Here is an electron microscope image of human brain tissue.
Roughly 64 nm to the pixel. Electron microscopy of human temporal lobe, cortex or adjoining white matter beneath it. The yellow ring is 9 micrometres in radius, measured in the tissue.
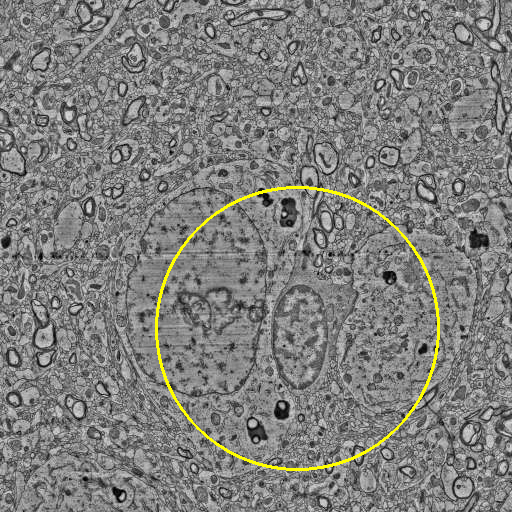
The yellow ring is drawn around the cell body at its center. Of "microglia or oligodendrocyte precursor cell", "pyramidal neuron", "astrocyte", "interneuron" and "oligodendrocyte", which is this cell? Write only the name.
oligodendrocyte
